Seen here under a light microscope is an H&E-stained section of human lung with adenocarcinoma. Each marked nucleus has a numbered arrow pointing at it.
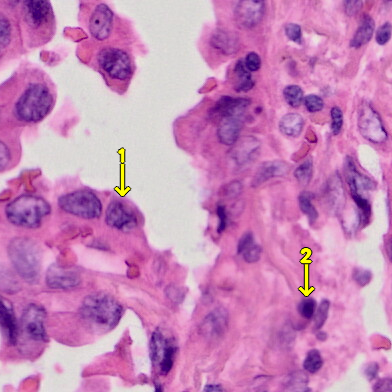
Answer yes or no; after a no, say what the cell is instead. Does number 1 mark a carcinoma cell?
Yes.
